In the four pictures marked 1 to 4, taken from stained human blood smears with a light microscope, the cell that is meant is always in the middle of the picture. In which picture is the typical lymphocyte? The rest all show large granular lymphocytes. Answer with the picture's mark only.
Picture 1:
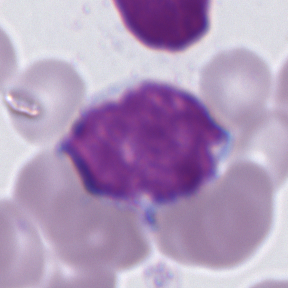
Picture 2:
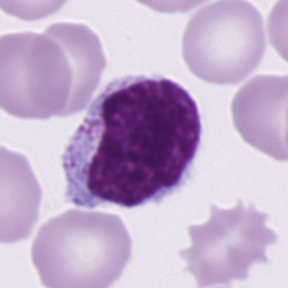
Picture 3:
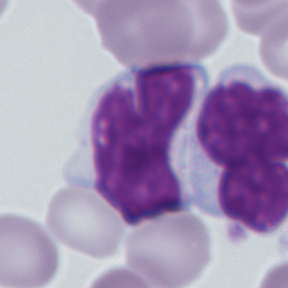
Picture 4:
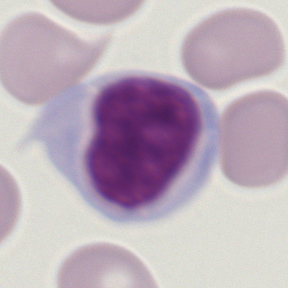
4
